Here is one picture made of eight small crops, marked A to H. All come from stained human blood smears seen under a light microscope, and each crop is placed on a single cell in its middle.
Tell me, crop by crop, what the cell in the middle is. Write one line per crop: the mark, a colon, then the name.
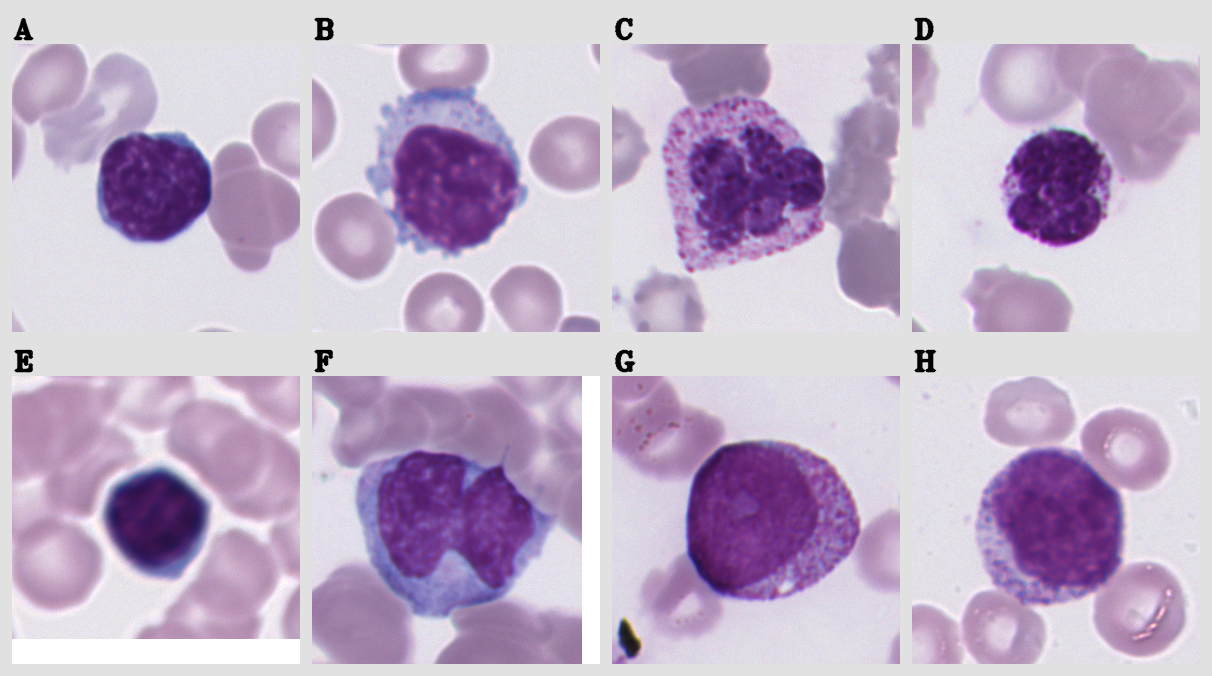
A: typical lymphocyte
B: large granular lymphocyte
C: basophil
D: basophil
E: typical lymphocyte
F: monocyte
G: myelocyte
H: myelocyte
